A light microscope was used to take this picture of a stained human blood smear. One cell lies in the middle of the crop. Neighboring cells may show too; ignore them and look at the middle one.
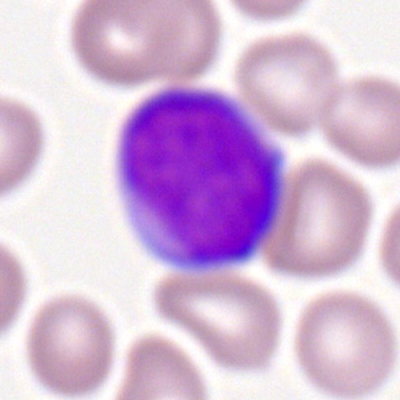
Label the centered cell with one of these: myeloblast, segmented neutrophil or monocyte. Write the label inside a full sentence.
What the crop centres on is a myeloblast.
